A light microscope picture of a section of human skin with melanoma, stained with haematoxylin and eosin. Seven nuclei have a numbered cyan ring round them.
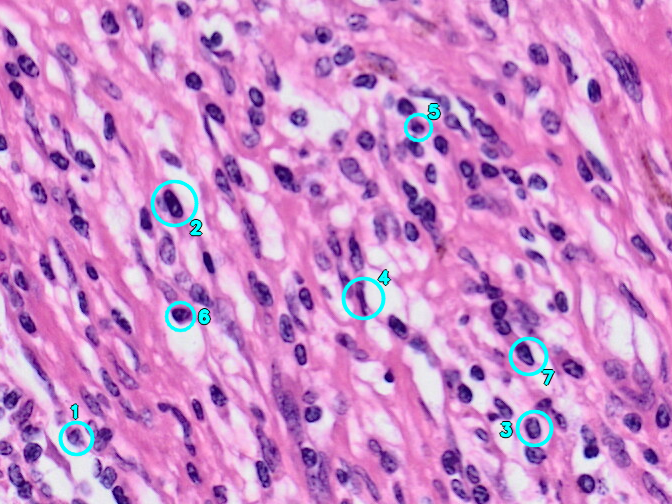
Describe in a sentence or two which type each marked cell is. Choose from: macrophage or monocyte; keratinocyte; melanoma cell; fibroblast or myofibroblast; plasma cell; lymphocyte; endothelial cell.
Cells 1, 3 and 7 are lymphocytes. Cells 2, 5 and 6 are plasma cells. Cell 4 is a fibroblast or myofibroblast.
